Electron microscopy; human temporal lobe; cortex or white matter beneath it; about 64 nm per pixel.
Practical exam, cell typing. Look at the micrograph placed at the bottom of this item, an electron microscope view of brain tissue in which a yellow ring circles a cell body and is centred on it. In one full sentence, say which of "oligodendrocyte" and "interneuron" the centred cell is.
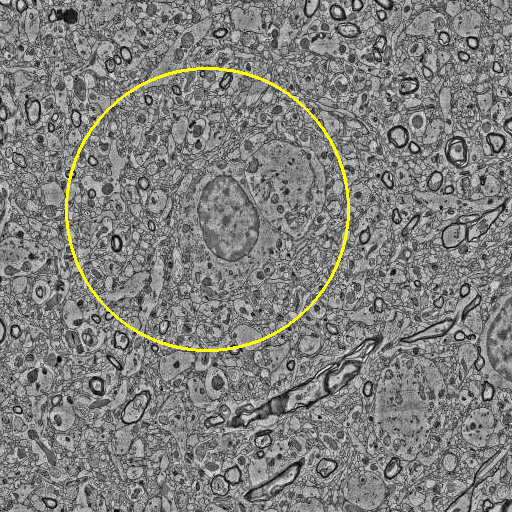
Given the options, an oligodendrocyte fits the cell whose body the yellow ring is centred on.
